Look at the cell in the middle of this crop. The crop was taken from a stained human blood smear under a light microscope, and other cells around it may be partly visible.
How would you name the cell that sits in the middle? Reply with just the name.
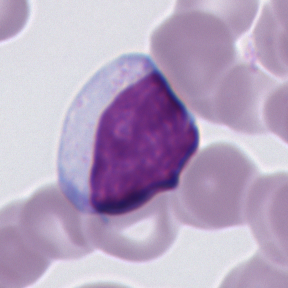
large granular lymphocyte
